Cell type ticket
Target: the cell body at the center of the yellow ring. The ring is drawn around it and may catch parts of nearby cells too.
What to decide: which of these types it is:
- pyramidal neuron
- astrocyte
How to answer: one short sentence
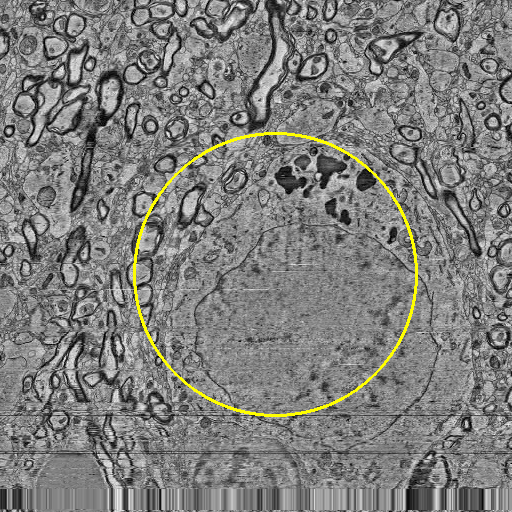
The cell at the center of the ring is a pyramidal neuron.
